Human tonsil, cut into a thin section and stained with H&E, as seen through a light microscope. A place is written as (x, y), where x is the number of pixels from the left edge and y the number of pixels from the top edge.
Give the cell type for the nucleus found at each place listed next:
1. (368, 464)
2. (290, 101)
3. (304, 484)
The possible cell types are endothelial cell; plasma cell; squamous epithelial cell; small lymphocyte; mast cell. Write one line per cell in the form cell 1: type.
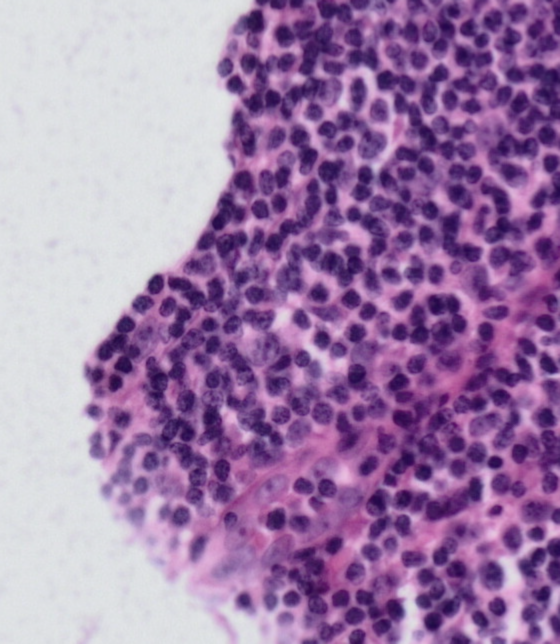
cell 1: endothelial cell
cell 2: small lymphocyte
cell 3: endothelial cell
